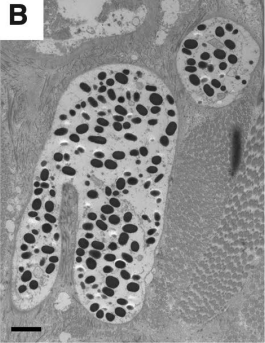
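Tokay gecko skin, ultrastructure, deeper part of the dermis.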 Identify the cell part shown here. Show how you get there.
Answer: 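Elongated and round membrane-bound profiles filled with scattered dense oval granules. The profiles lie within fibrous connective tissue.
Answer: Melanophore processes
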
